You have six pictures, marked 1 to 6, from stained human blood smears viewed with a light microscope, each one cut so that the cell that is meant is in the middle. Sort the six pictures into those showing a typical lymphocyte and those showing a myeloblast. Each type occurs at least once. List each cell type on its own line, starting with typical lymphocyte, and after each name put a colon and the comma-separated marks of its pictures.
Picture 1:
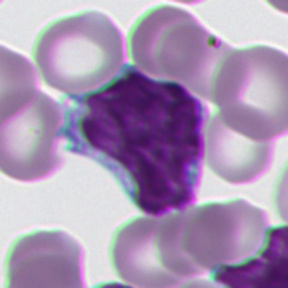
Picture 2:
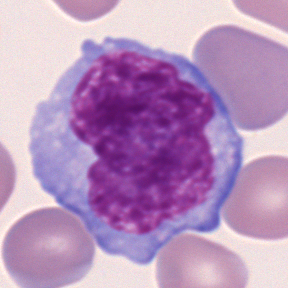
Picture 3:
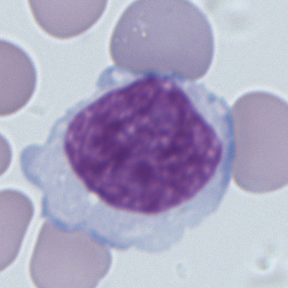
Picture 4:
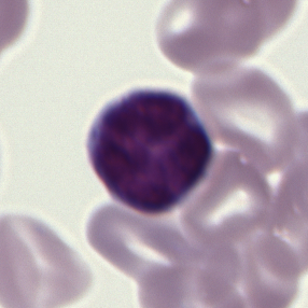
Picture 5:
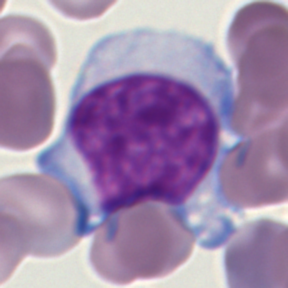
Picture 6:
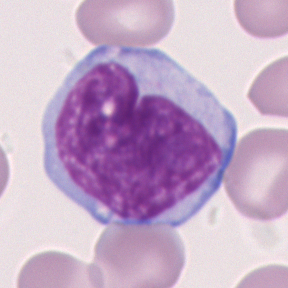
typical lymphocyte: 1, 4
myeloblast: 2, 3, 5, 6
